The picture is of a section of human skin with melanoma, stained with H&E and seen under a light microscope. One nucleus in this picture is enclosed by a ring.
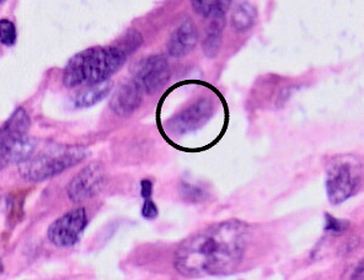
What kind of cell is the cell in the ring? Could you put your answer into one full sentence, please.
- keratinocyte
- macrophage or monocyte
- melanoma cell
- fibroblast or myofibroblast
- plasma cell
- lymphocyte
The identity of the cell in the ring: it is a melanoma cell.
